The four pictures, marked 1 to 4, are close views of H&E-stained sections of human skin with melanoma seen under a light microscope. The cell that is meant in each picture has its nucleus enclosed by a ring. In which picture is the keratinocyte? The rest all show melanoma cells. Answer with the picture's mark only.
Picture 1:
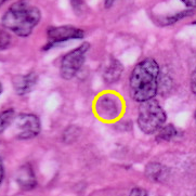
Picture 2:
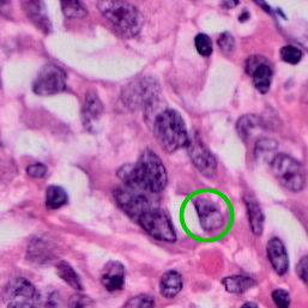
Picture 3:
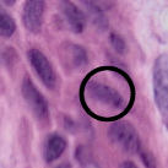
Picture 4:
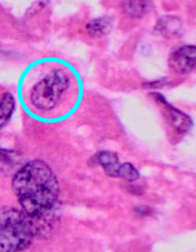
3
